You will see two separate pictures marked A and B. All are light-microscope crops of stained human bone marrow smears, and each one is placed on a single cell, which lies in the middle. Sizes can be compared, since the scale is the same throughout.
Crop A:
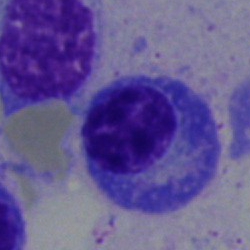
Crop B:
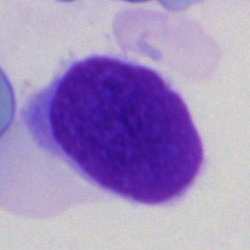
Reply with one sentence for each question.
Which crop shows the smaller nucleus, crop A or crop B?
It is the nucleus in crop A; the one in crop B has about 2.5 times its area.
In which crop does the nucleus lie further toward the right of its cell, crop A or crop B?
In crop B the nucleus is shifted more toward the right.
